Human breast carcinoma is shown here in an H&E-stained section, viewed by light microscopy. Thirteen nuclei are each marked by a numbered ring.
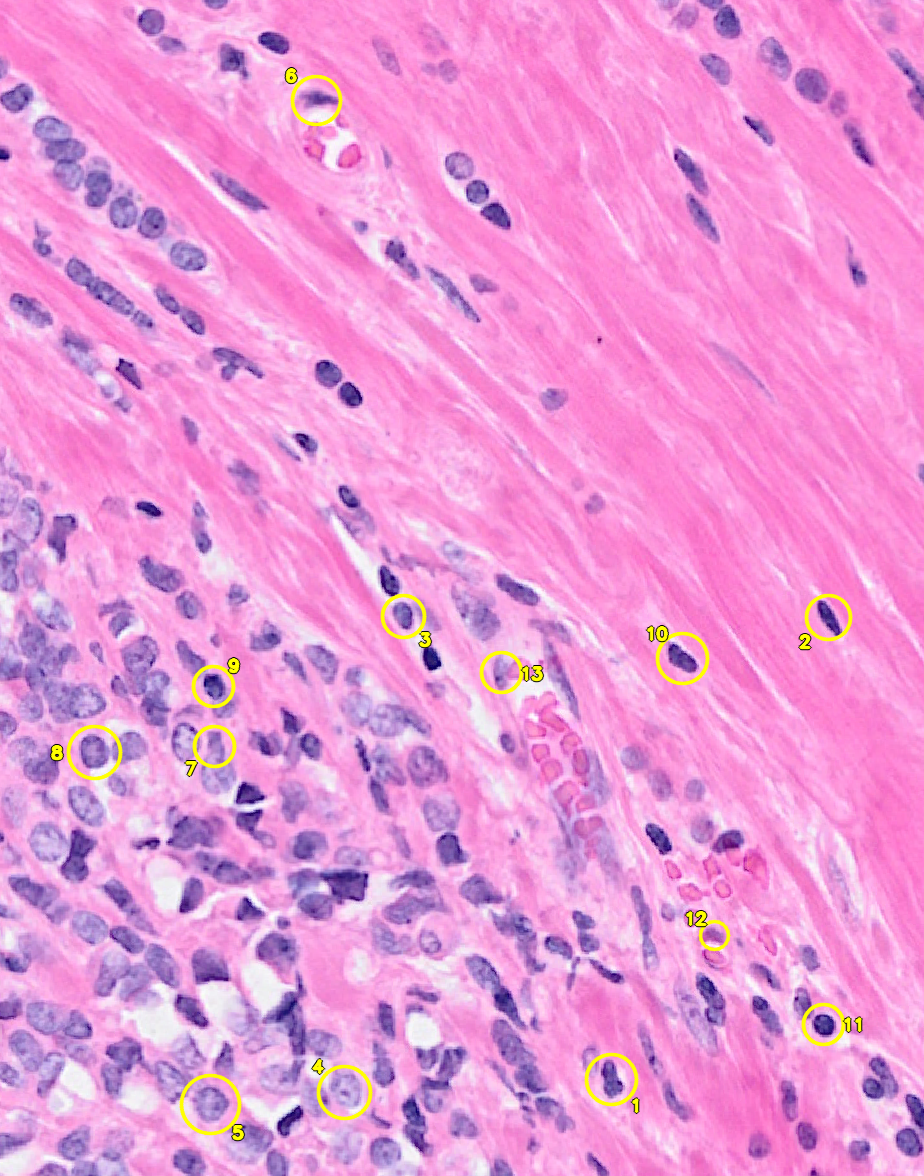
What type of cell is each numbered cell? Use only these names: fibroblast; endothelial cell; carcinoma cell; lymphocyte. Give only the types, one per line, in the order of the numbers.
lymphocyte
lymphocyte
lymphocyte
carcinoma cell
carcinoma cell
endothelial cell
carcinoma cell
carcinoma cell
lymphocyte
lymphocyte
lymphocyte
endothelial cell
endothelial cell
